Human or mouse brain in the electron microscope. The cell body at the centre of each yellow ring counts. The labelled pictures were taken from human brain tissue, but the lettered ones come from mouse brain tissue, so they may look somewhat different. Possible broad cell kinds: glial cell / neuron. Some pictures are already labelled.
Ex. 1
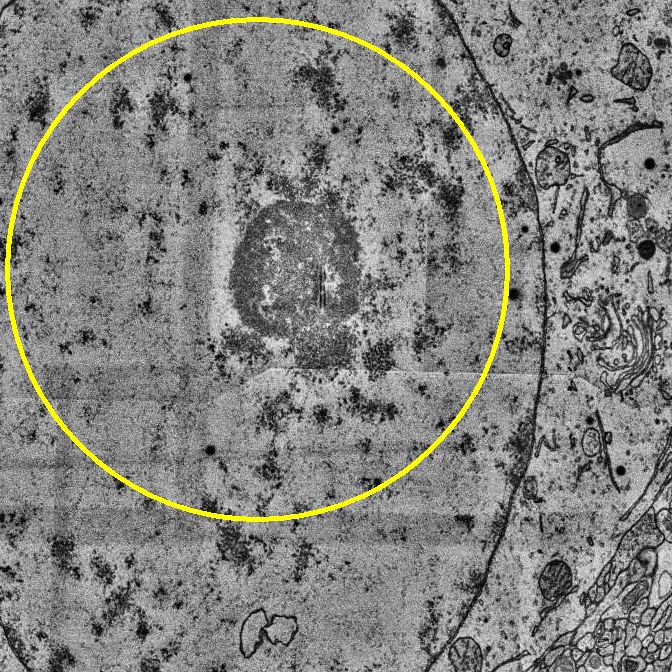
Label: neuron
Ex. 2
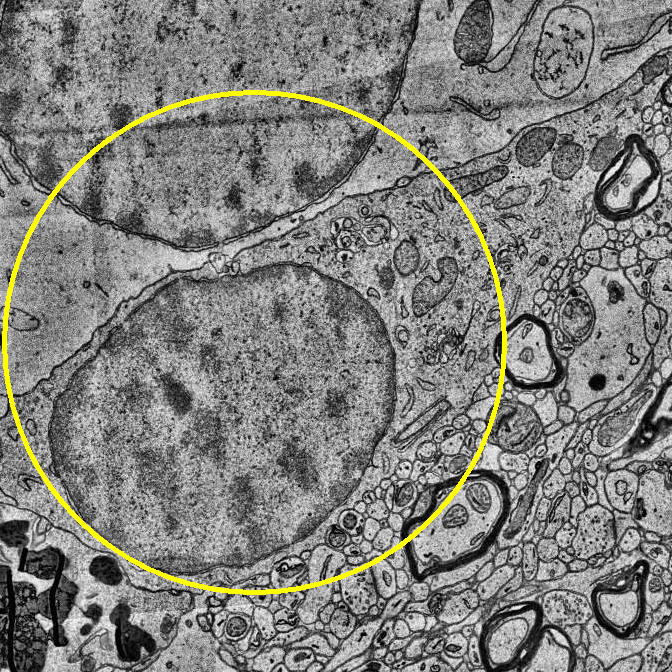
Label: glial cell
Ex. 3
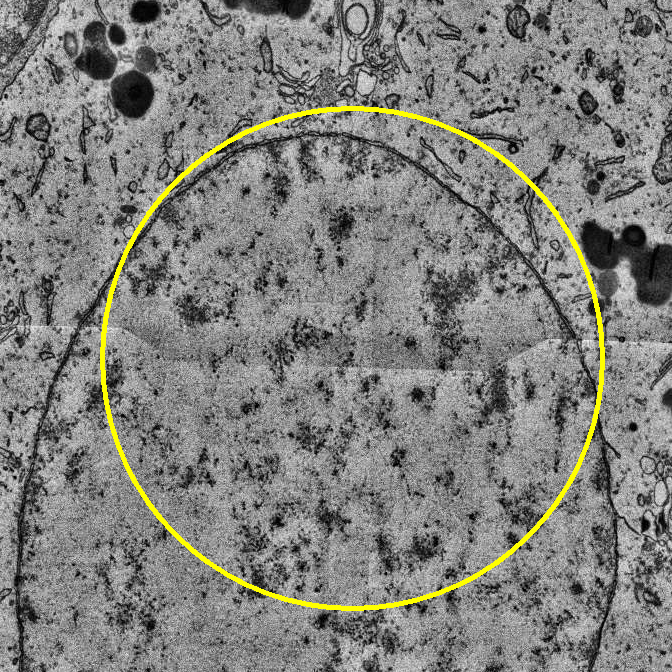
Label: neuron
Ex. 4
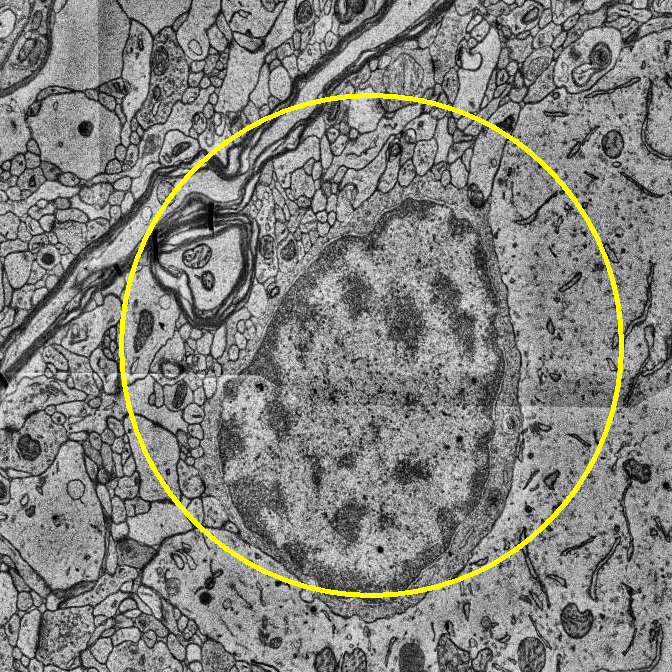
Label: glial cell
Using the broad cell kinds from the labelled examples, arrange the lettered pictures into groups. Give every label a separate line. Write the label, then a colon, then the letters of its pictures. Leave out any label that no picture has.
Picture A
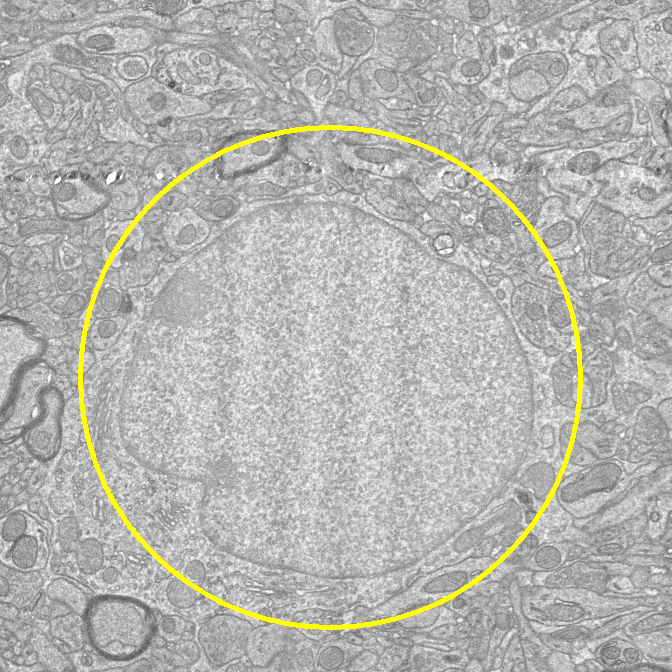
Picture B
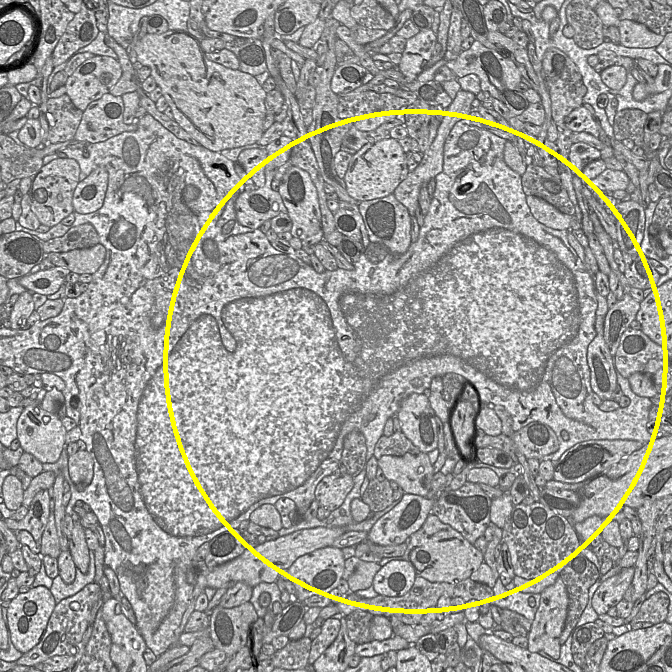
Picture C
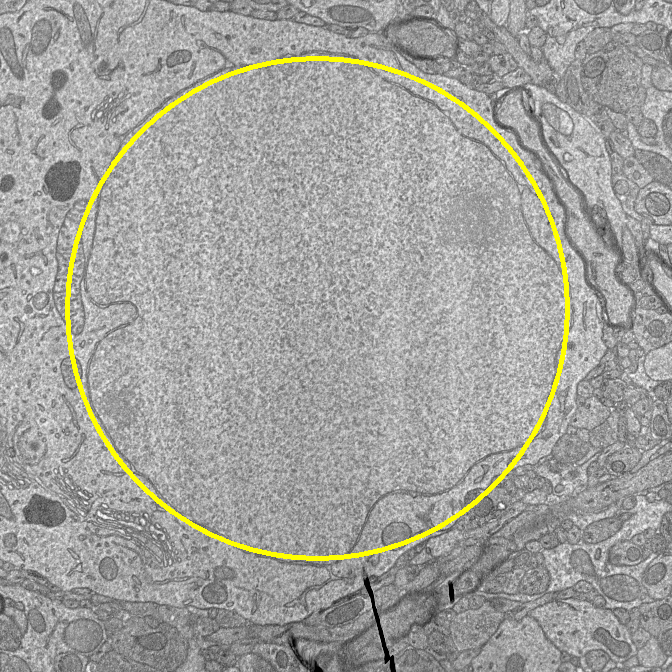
glial cell: A, B
neuron: C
